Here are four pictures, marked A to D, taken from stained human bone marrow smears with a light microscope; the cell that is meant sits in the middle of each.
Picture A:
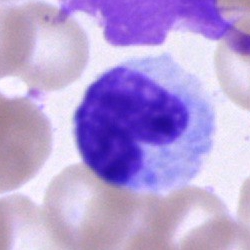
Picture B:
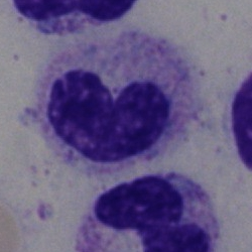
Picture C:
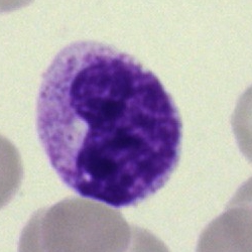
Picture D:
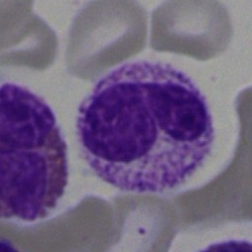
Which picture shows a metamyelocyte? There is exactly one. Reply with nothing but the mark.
C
